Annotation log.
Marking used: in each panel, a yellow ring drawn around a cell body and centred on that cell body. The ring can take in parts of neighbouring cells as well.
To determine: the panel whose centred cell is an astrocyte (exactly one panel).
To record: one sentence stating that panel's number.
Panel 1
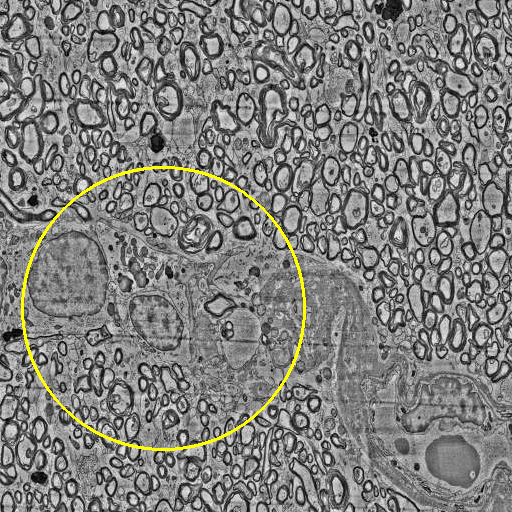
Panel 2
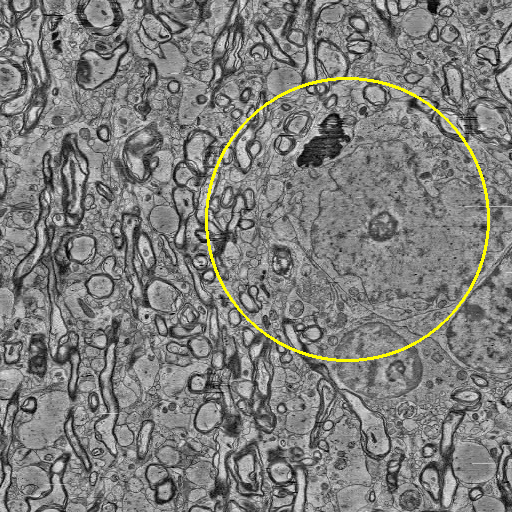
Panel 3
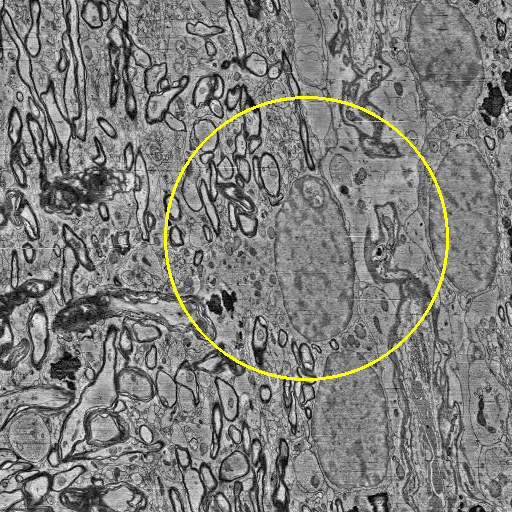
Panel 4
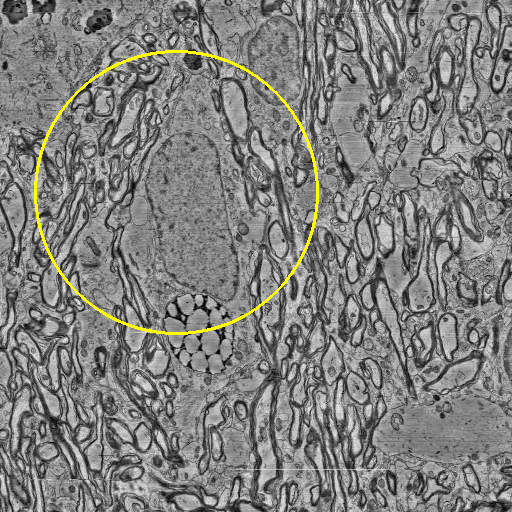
Panel 4 shows it at the centre of its ring.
